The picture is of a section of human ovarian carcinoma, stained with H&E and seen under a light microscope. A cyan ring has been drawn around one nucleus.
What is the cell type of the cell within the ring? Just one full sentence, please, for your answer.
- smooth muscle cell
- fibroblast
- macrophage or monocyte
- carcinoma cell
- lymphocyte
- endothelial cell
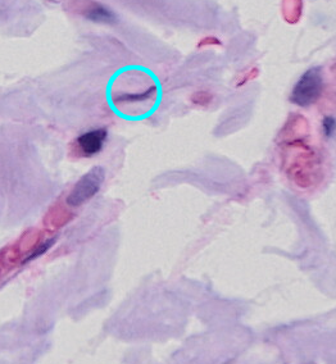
In short, the cell within the ring on this section is a fibroblast.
